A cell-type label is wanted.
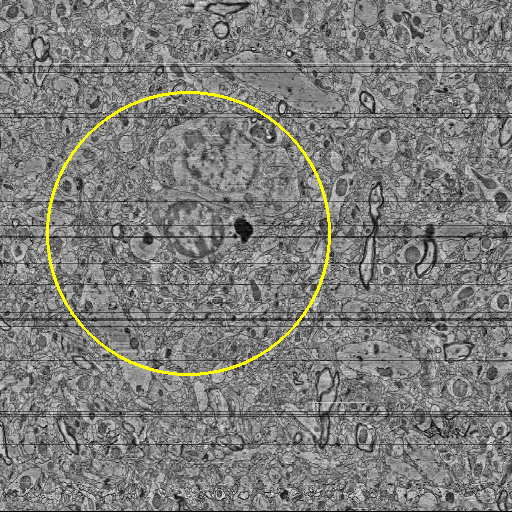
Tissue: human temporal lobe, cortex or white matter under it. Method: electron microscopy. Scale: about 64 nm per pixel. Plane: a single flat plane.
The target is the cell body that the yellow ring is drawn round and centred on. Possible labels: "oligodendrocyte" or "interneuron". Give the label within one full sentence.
Of the labels offered, the cell in the middle of the yellow ring is an oligodendrocyte.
